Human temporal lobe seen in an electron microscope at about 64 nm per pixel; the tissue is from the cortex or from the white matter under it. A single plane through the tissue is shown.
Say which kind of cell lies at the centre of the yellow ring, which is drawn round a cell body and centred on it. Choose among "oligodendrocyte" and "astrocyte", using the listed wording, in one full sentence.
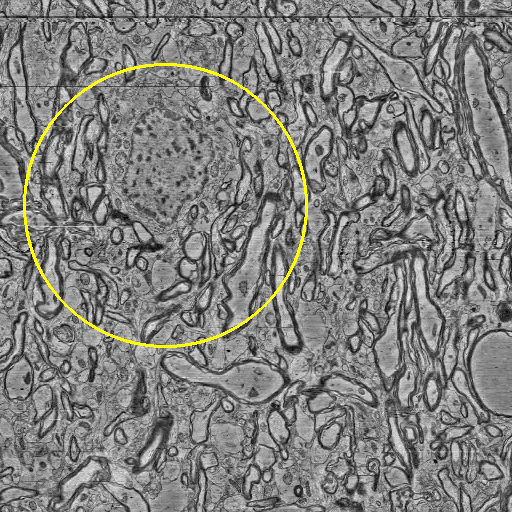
Going by the list, the cell at the yellow ring's centre is an astrocyte.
